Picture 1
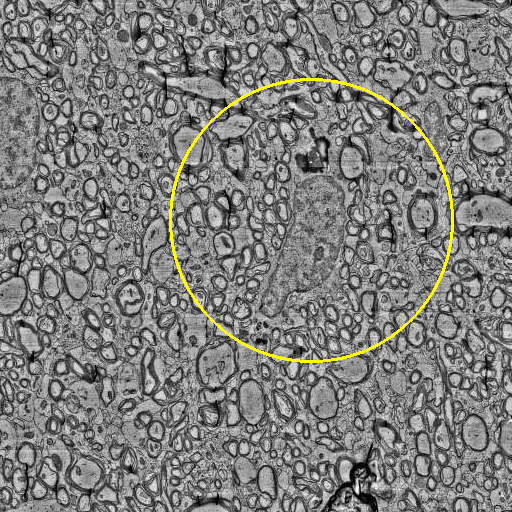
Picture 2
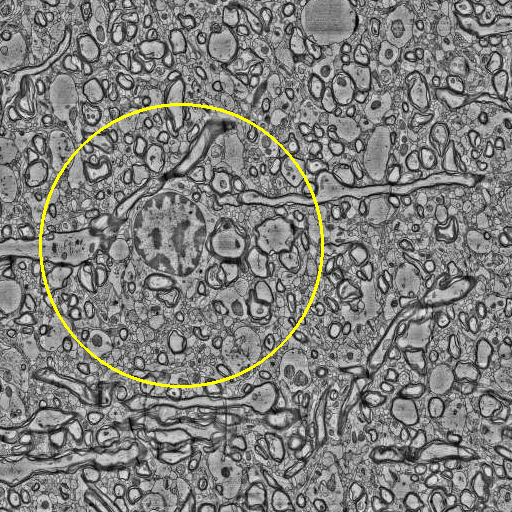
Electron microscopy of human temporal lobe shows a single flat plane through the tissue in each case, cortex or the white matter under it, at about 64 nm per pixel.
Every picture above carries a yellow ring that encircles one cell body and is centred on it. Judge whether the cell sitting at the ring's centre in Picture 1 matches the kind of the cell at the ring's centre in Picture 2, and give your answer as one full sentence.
No, the cells centred in the rings of Pictures 1 and 2 belong to two kinds.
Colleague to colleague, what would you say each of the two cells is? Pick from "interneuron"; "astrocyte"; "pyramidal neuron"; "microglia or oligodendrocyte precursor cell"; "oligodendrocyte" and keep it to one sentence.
The cell in the first picture is an oligodendrocyte; the second picture's cell is a microglial cell or oligodendrocyte precursor cell.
